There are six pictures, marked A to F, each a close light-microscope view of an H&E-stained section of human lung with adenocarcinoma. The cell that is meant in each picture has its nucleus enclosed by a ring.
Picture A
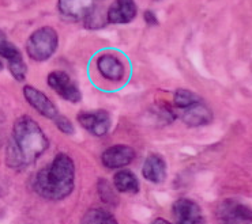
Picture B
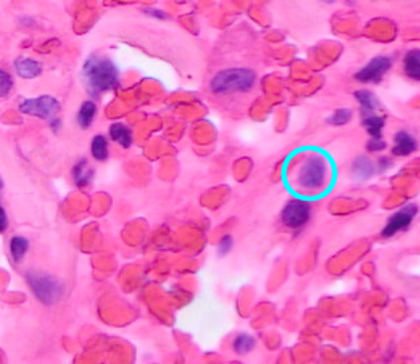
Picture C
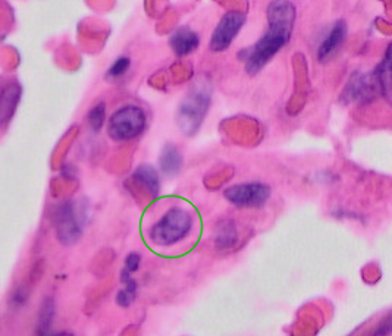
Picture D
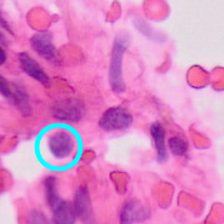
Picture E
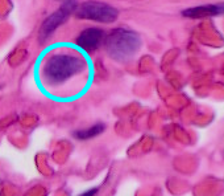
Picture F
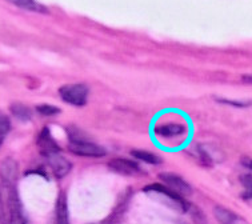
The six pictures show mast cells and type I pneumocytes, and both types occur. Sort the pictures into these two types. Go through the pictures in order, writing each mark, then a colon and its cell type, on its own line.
A: mast cell
B: type I pneumocyte
C: type I pneumocyte
D: type I pneumocyte
E: type I pneumocyte
F: mast cell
